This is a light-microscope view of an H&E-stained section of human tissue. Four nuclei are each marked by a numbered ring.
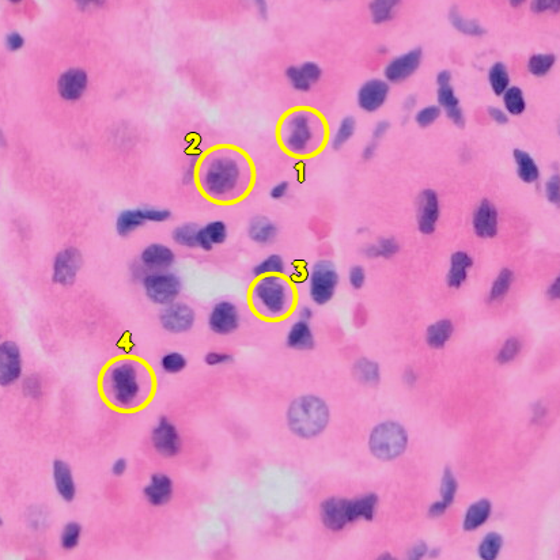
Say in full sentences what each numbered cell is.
Cell 1 is a proximal tubule cell, cell 2 is a proximal tubule cell, cell 3 is a collecting duct cell and cell 4 is a proximal tubule cell.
